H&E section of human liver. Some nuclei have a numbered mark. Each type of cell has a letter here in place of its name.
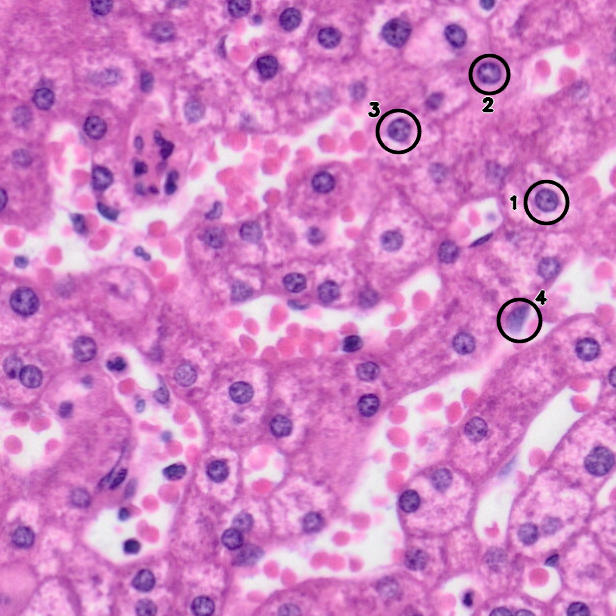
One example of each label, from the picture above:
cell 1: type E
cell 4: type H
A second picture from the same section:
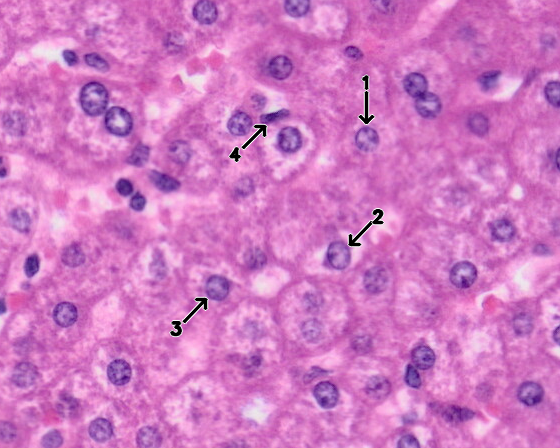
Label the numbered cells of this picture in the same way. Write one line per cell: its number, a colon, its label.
1: type E
2: type E
3: type E
4: type H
